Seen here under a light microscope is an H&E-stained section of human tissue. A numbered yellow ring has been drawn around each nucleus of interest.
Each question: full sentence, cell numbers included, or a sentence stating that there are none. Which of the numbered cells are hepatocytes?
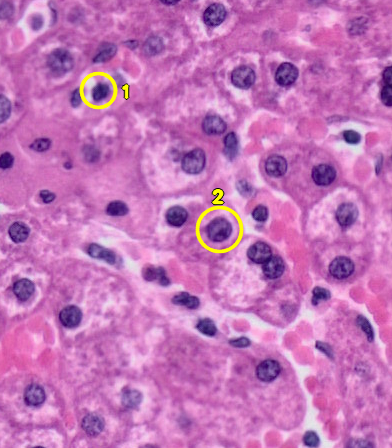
Within the set of numbered cells, only number 2 is a hepatocyte.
